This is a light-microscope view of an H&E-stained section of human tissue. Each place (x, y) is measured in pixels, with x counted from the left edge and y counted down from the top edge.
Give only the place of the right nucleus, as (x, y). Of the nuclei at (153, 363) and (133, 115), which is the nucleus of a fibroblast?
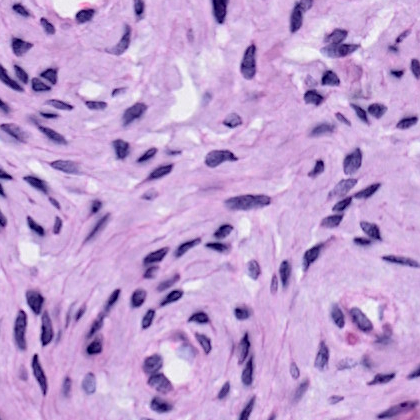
(133, 115)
